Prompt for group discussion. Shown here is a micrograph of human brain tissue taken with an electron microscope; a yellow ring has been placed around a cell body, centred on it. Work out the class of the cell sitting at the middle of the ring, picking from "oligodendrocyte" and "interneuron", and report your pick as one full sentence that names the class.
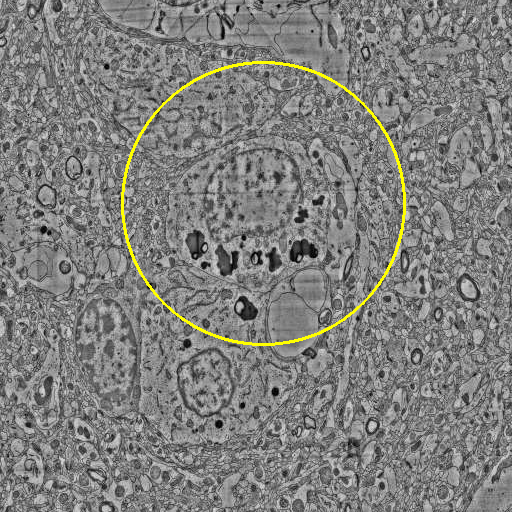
The cell sitting at the middle of the yellow ring is an interneuron.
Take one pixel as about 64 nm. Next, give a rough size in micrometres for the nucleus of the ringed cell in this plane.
In this plane, approximately 7 micrometres across.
